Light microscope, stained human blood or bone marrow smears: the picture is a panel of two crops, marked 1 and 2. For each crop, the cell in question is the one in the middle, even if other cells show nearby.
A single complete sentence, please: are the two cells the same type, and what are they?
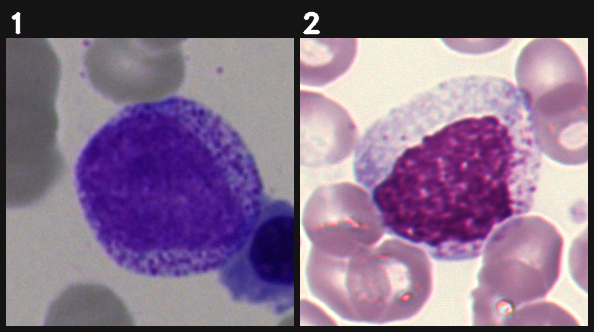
Yes, in both crops, myelocytes are the cells at the middle.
